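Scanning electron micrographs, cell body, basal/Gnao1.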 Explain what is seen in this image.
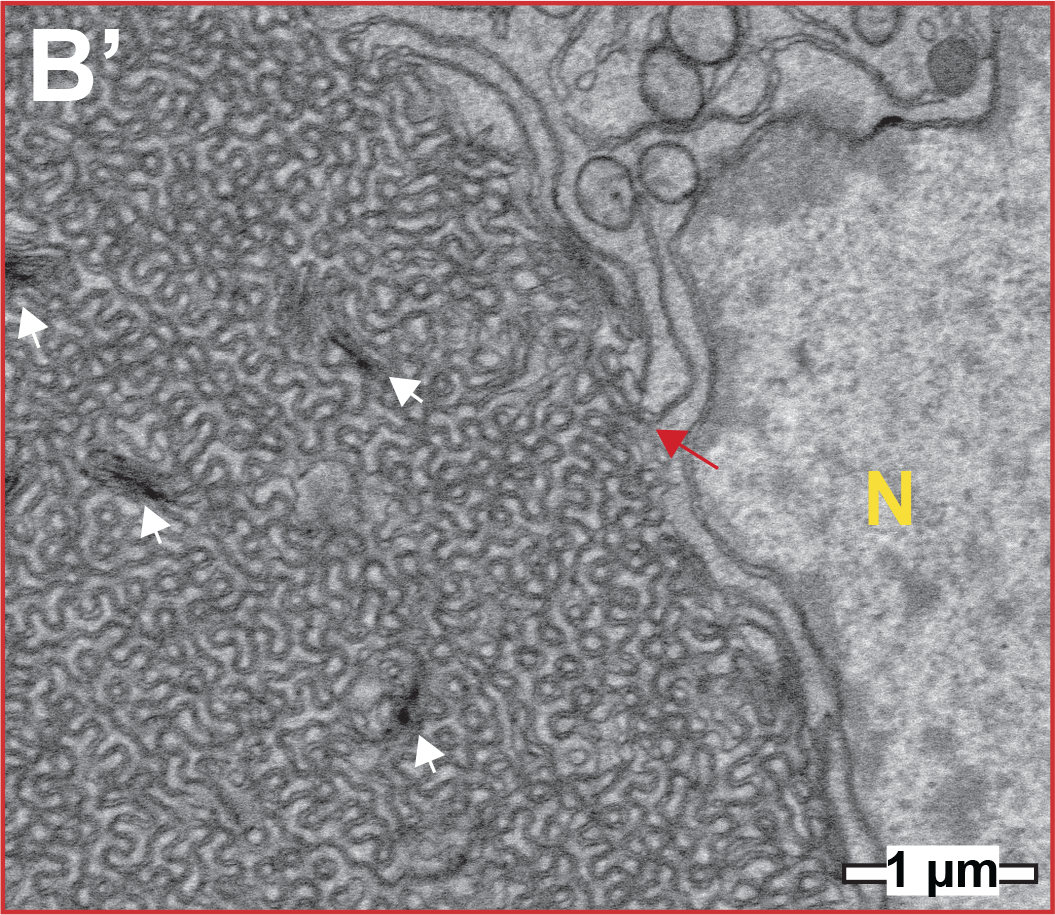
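At high magnification the cytoplasm of a vomeronasal sensory neuron is filled with cubic membrane endoplasmic reticulum: a dense, regular maze of winding, interconnected membranes forming a repeating pattern of small curved channels. Scattered within it are a few short dark streaks, which are dense membrane stacks. At the edge, a thin, flat double membrane of lamellar endoplasmic reticulum runs along the pale, granular nucleus and joins the convoluted membrane field.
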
